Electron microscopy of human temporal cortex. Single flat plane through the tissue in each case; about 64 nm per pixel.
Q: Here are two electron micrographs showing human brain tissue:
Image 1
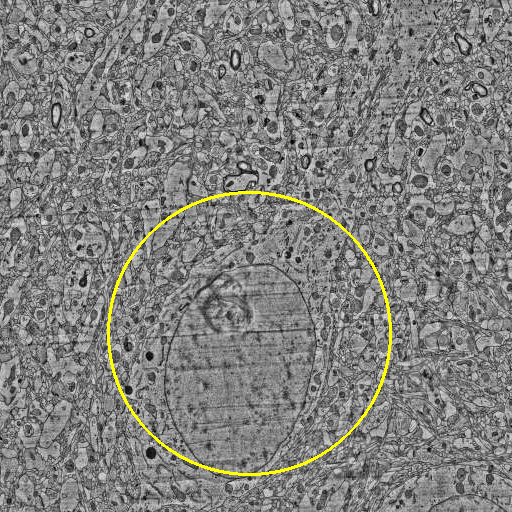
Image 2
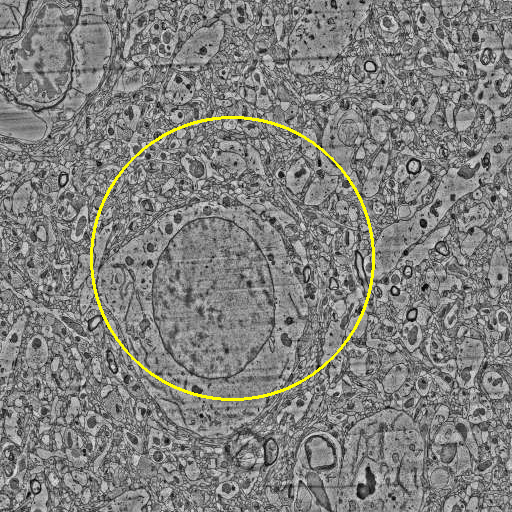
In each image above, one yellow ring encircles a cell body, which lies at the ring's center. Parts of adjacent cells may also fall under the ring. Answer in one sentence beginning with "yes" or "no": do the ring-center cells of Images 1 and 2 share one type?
Yes, in Images 1 and 2, the ring-center cells are both of one type.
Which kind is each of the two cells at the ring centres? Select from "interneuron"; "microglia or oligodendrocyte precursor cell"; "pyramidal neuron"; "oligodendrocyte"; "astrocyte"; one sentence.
Each cell at the centre of a ring is a pyramidal neuron.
